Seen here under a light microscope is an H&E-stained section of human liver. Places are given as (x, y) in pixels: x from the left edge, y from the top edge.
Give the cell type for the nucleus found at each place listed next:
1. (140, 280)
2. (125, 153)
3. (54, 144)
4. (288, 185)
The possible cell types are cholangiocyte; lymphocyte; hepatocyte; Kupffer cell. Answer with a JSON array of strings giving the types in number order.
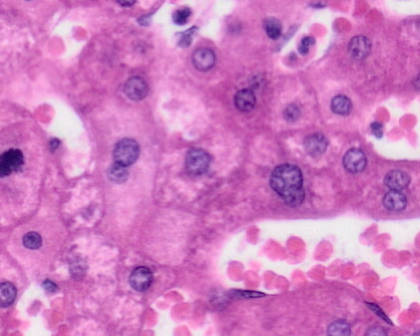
["hepatocyte", "hepatocyte", "Kupffer cell", "hepatocyte"]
